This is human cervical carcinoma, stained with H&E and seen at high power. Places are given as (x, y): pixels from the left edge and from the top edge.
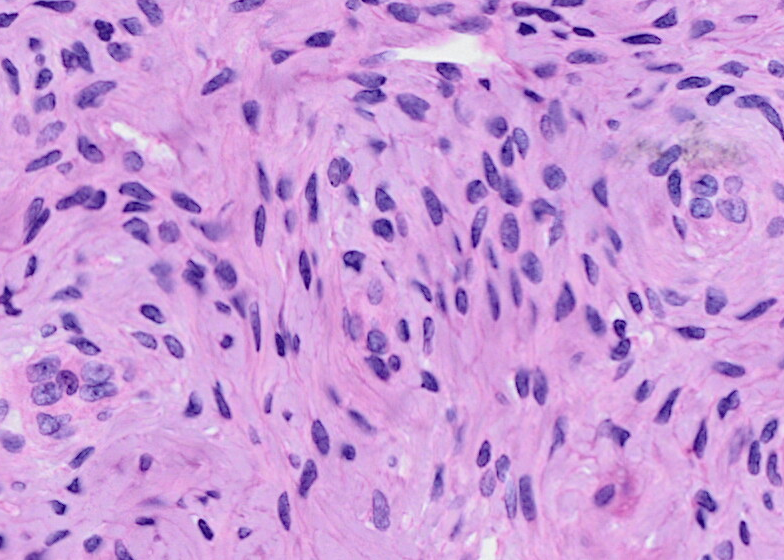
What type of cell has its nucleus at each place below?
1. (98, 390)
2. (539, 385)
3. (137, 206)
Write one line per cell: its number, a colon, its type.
1: endothelial cell
2: fibroblast
3: fibroblast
